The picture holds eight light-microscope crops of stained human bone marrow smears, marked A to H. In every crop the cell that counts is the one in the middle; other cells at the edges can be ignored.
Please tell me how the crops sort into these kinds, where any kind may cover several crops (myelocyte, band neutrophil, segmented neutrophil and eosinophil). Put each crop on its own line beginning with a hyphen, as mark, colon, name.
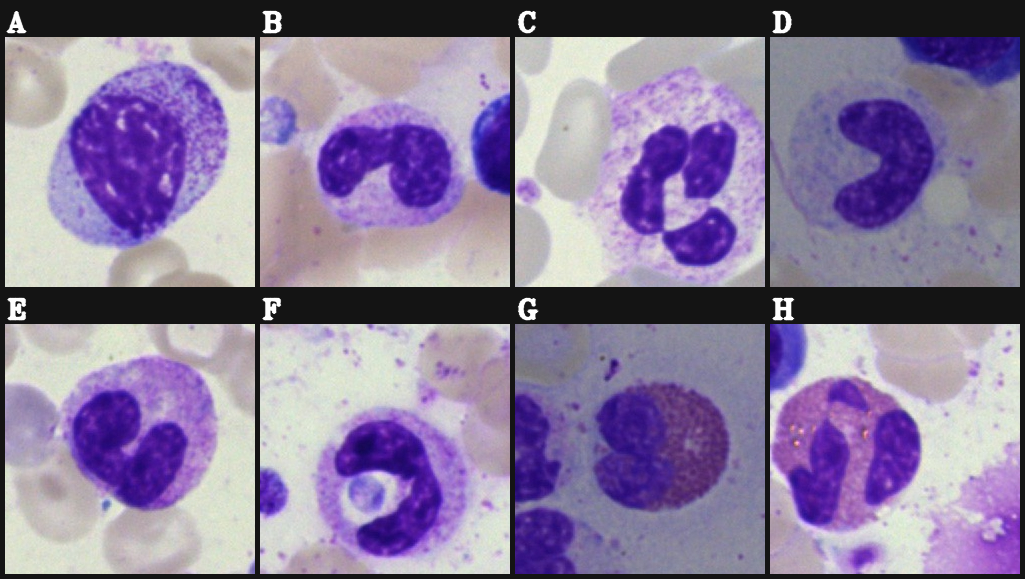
- A: myelocyte
- B: band neutrophil
- C: segmented neutrophil
- D: band neutrophil
- E: segmented neutrophil
- F: band neutrophil
- G: eosinophil
- H: eosinophil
